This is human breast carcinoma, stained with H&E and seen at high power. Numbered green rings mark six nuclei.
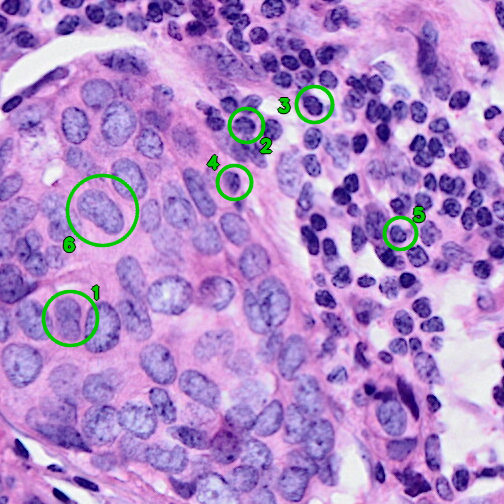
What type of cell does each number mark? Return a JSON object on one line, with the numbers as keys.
{"1": "carcinoma cell", "2": "lymphocyte", "3": "lymphocyte", "4": "lymphocyte", "5": "lymphocyte", "6": "carcinoma cell"}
